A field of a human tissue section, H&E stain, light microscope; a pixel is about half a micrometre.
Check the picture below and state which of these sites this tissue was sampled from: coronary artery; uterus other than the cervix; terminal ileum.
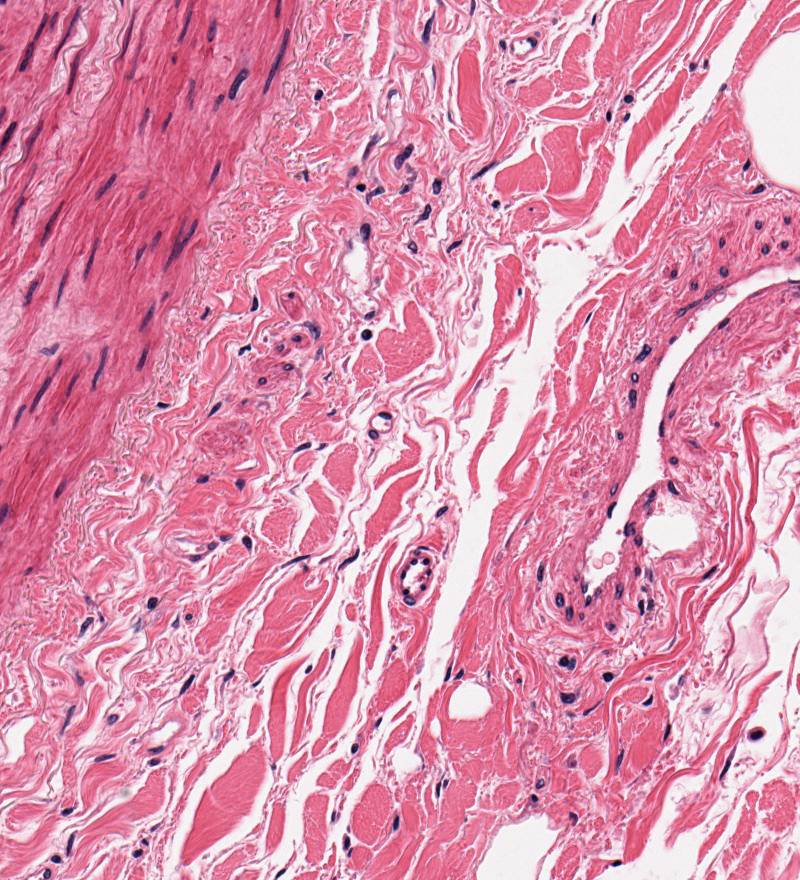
coronary artery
